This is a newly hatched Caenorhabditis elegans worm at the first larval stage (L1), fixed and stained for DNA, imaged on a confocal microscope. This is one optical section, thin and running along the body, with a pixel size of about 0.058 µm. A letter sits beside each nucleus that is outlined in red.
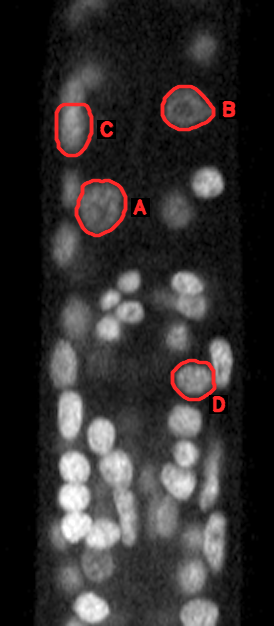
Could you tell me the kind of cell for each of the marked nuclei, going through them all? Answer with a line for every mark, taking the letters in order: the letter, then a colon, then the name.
A: intestinal cell
B: intestinal cell
C: body wall muscle cell
D: pharyngeal muscle cell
